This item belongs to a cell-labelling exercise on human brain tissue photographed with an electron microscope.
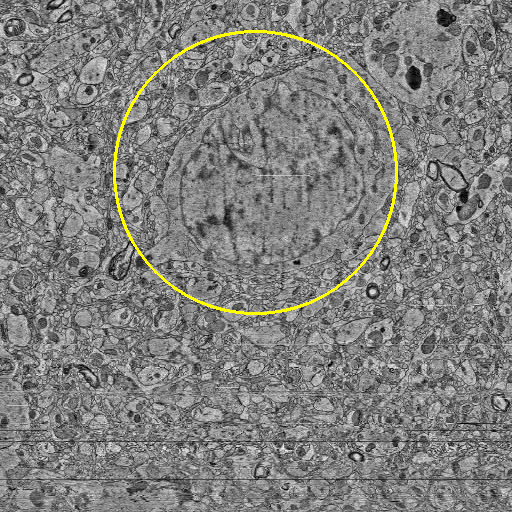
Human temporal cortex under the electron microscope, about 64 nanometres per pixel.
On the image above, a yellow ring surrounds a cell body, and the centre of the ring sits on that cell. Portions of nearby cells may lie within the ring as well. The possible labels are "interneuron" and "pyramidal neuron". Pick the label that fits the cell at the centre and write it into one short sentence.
This cell should be labelled as an interneuron.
